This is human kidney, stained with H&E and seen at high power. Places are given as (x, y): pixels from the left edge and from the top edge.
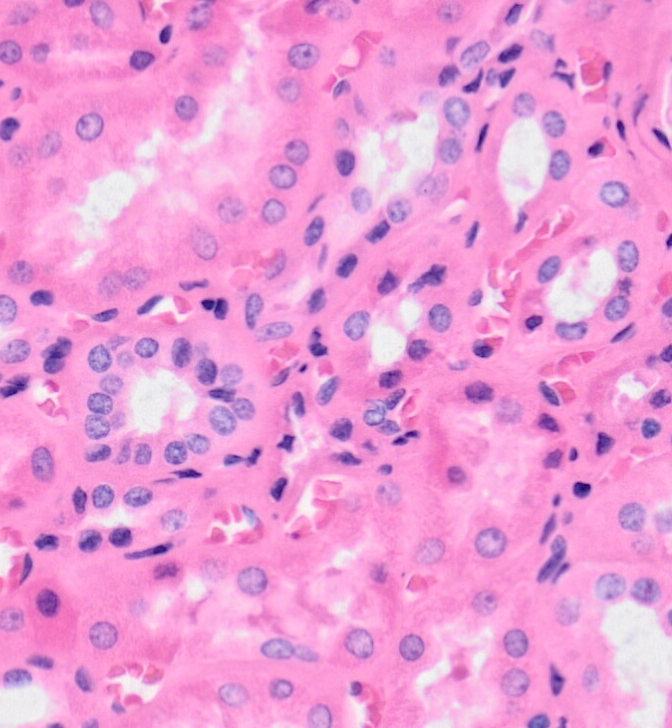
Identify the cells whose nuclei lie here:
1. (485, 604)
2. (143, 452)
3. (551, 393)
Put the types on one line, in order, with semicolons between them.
proximal tubule cell; collecting duct cell; endothelial cell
